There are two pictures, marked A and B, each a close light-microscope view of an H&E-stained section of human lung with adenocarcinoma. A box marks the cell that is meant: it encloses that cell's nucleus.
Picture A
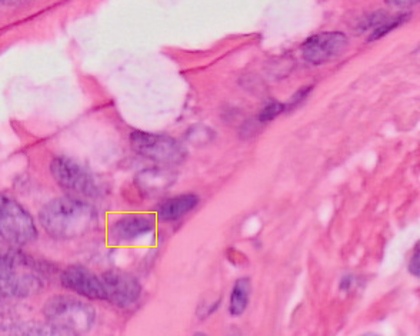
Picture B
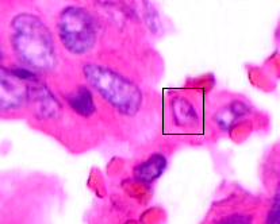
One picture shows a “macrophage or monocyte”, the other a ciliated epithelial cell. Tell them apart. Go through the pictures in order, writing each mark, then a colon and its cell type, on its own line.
A: ciliated epithelial cell
B: macrophage or monocyte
